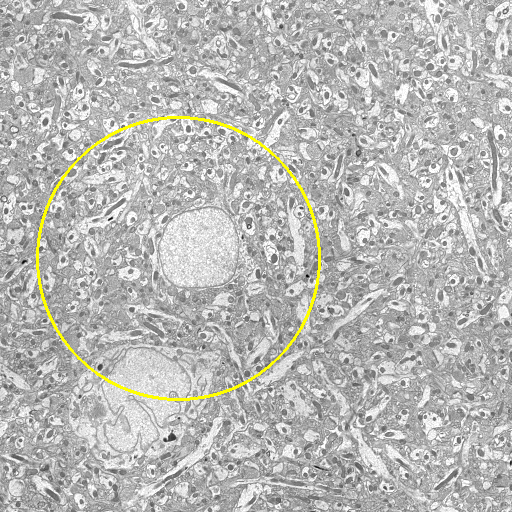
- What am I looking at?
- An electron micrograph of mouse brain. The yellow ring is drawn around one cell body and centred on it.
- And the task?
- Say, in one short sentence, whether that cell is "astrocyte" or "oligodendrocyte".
The cell in the middle of the ring is an astrocyte.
